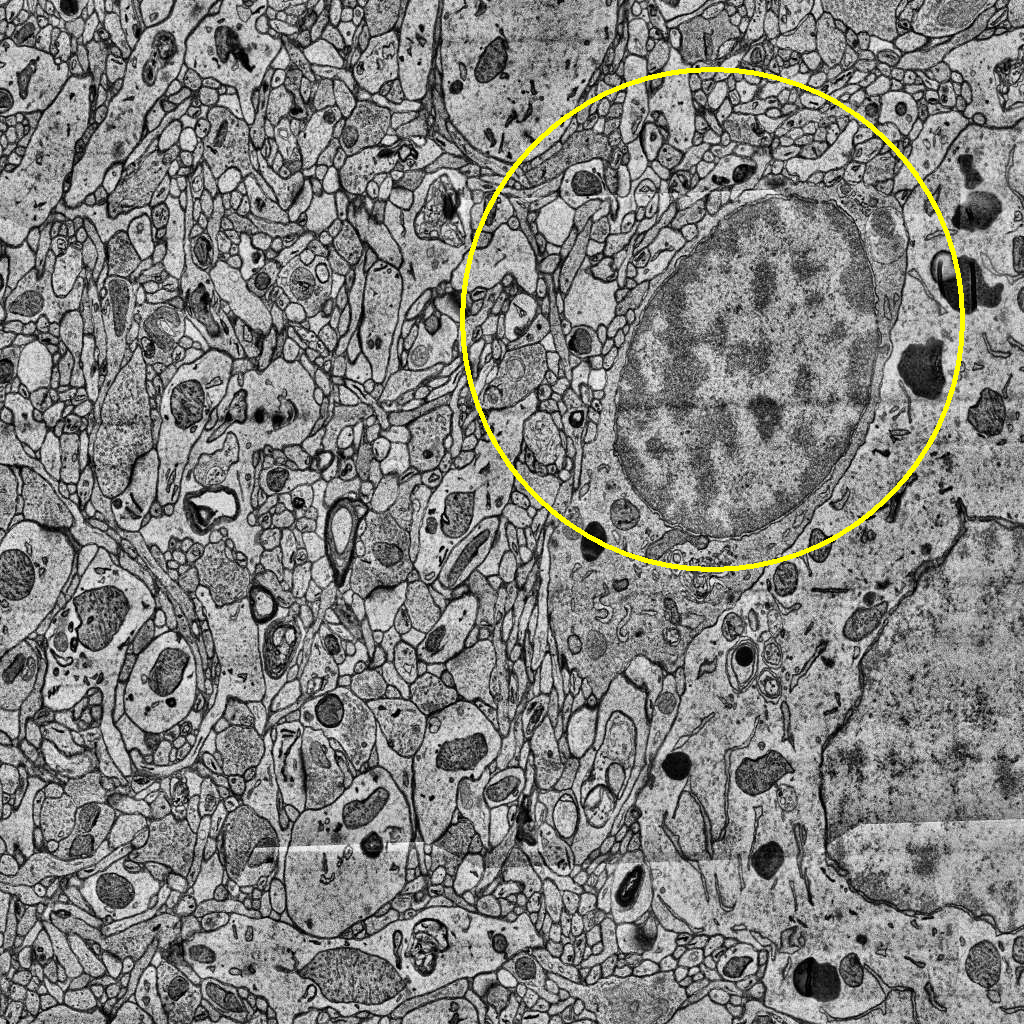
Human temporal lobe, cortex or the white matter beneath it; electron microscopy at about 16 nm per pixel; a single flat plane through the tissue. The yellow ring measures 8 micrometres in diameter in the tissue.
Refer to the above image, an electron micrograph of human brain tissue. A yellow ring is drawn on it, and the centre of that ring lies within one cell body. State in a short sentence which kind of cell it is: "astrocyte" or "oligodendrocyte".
The centre of the ring falls on an oligodendrocyte.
